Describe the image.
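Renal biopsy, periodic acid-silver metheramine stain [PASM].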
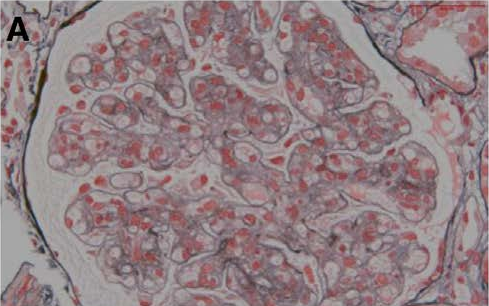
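A single glomerulus fills the field, surrounded by a thin black-outlined Bowman's capsule and a pale urinary space. The tuft is divided into lobules whose capillary loops are outlined by fine dark silver-stained membranes. The loops are packed with many red-staining nuclei, so that open capillary lumens are scarce and the tuft looks crowded and hypercellular throughout. Cells lining and filling the loops appear swollen, further narrowing the lumens. At the edges, portions of surrounding tubules with their own dark basement membranes can be seen.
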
